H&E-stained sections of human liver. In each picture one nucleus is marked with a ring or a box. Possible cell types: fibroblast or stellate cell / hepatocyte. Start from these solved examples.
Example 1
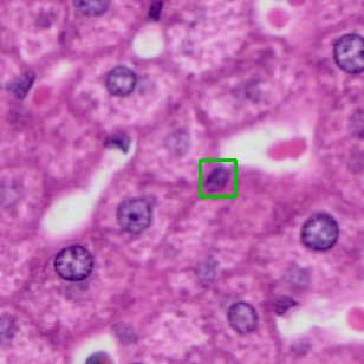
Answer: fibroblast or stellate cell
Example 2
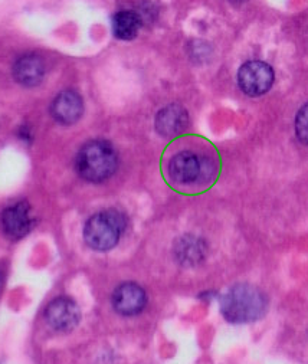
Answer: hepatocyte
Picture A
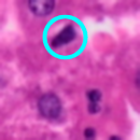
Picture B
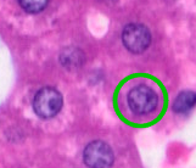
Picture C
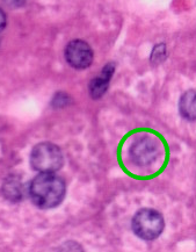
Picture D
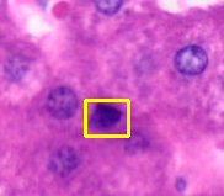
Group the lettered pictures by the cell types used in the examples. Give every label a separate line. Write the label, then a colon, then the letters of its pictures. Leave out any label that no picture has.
fibroblast or stellate cell: A, D
hepatocyte: B, C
